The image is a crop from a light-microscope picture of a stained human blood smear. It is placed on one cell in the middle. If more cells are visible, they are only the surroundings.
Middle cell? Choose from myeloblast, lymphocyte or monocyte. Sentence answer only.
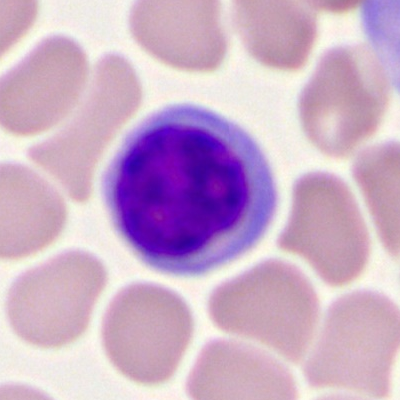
Seen at the centre of the crop is a lymphocyte.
